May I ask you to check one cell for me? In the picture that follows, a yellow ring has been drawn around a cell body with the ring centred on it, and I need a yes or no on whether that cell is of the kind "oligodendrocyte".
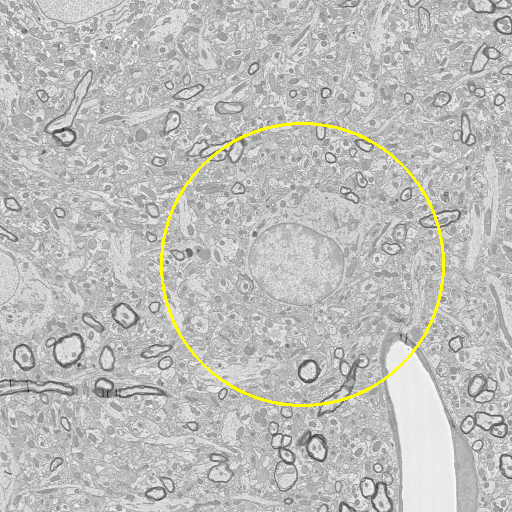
Yes, it is that kind of cell.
